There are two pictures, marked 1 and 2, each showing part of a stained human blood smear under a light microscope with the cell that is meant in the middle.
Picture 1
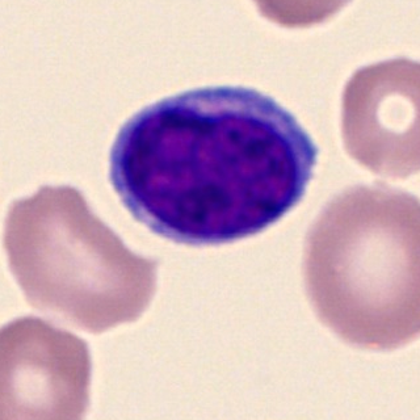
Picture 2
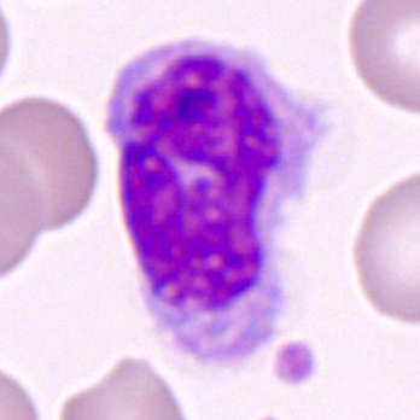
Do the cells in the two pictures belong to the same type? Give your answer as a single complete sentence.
No, they differ: the cell is a lymphocyte in picture 1 and a monocyte in picture 2.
